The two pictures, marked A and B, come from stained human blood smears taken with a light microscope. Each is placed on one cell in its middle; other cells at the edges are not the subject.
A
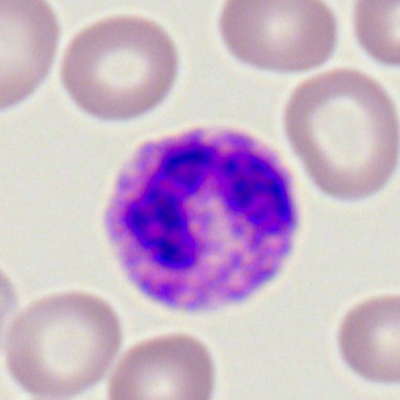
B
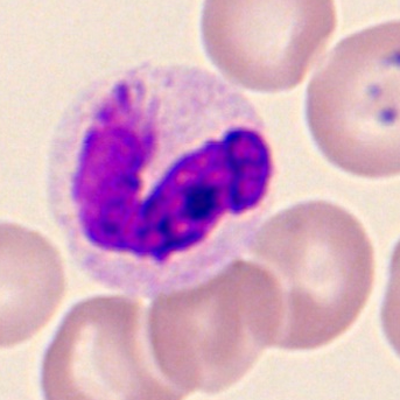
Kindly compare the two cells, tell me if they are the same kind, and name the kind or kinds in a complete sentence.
No, an eosinophil is depicted by crop A, a segmented neutrophil by crop B.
